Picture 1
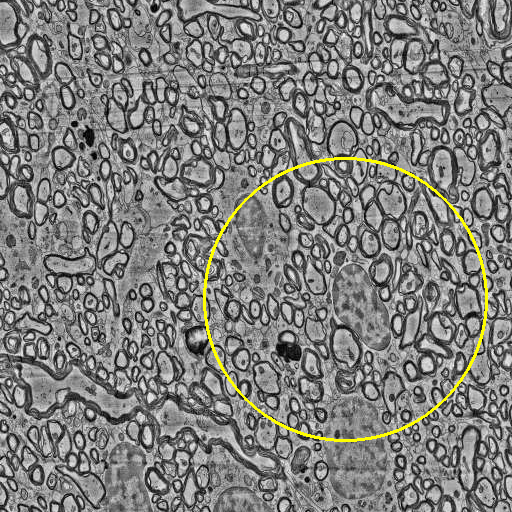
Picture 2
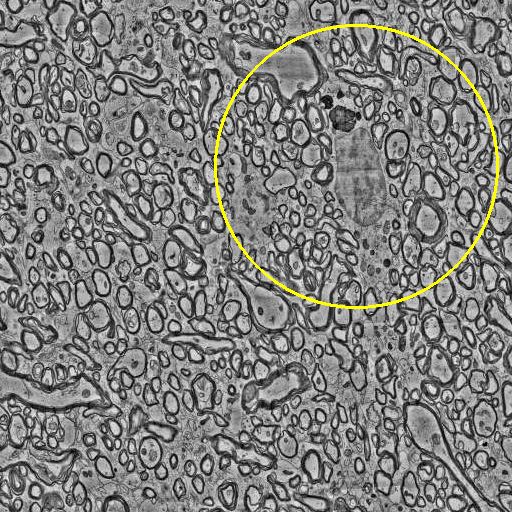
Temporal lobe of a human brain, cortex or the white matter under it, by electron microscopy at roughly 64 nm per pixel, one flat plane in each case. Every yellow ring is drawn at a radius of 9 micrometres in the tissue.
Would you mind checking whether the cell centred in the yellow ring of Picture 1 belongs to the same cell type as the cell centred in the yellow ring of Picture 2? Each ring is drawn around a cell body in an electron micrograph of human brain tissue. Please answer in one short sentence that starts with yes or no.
No, the two cells are of two types.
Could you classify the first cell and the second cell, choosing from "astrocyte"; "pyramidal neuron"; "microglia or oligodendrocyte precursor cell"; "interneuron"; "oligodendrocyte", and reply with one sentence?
The second cell is an oligodendrocyte, while the first is a microglial cell or oligodendrocyte precursor cell.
